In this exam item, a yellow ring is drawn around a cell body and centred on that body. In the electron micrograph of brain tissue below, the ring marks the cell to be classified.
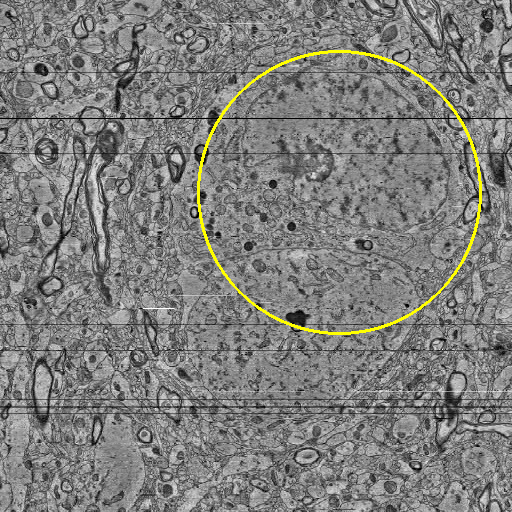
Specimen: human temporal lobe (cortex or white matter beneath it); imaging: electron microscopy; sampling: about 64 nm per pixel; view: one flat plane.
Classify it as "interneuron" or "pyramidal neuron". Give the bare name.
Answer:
interneuron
